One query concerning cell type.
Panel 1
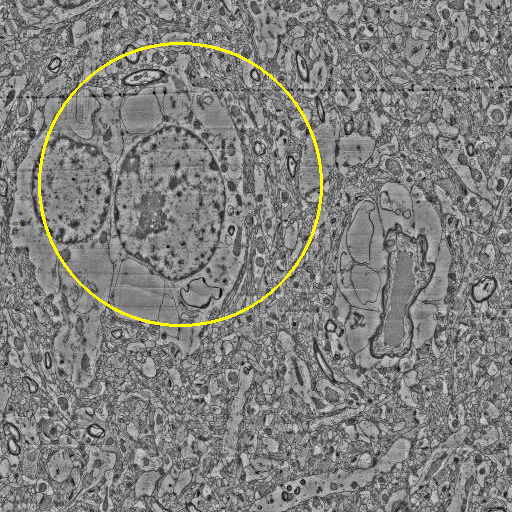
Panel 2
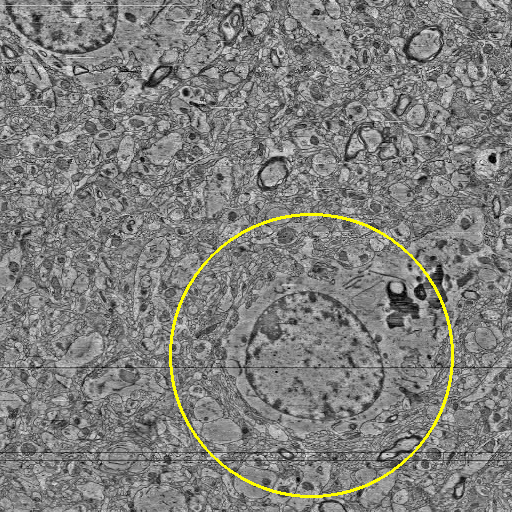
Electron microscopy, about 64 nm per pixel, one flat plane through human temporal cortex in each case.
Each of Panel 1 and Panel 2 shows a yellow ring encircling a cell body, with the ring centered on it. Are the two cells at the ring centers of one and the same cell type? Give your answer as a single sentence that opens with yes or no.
Yes, the cell centered in Panel 1 and the one in Panel 2 share a type.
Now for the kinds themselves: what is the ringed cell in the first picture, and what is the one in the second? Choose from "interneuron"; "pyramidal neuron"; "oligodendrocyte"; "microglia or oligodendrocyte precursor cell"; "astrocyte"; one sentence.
Each of the ringed cells, first and second, is an astrocyte.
